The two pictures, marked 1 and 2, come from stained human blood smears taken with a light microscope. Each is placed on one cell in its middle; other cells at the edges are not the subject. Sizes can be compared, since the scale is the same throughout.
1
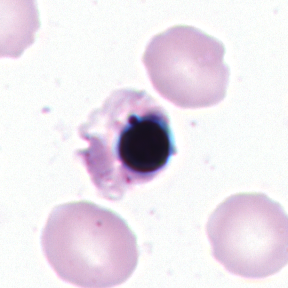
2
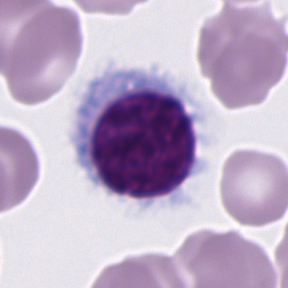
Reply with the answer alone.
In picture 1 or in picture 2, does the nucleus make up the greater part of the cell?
2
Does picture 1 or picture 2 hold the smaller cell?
1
